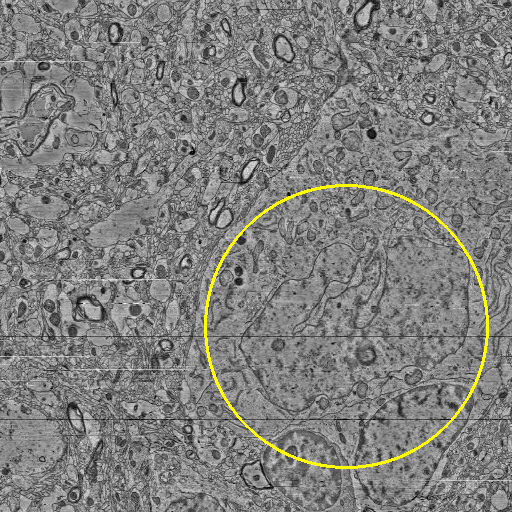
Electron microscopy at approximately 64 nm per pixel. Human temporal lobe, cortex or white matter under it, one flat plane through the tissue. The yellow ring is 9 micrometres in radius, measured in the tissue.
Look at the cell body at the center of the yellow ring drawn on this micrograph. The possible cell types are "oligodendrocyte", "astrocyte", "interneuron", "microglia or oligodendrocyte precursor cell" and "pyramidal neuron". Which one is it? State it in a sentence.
The cell in the middle of the ring is an interneuron.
